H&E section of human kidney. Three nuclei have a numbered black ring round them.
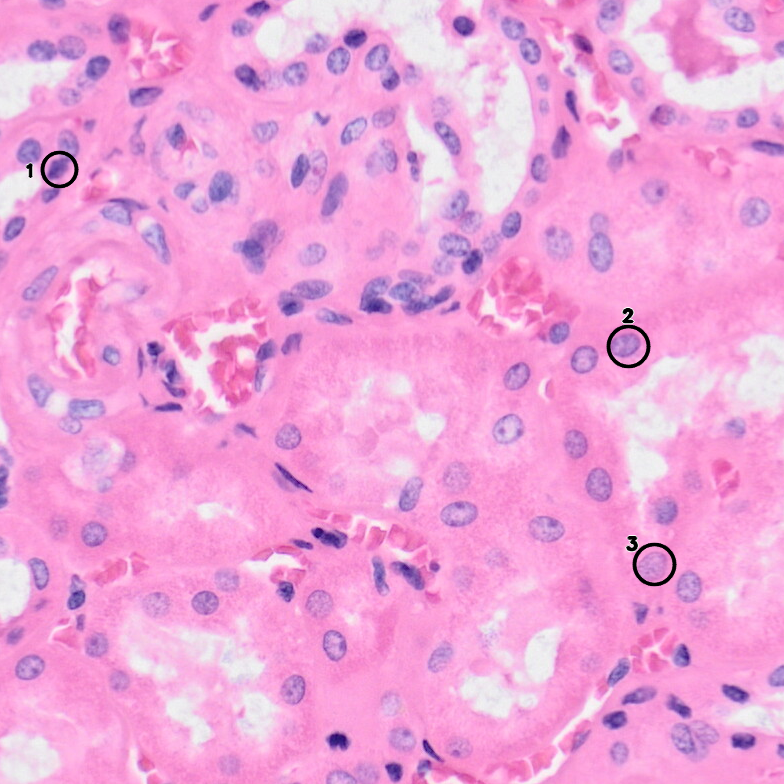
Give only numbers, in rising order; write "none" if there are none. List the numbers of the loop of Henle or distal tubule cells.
none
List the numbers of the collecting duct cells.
1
